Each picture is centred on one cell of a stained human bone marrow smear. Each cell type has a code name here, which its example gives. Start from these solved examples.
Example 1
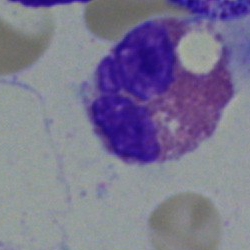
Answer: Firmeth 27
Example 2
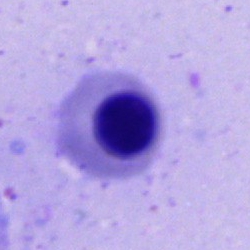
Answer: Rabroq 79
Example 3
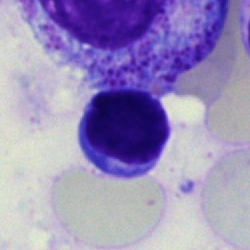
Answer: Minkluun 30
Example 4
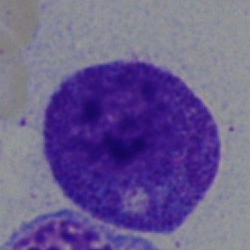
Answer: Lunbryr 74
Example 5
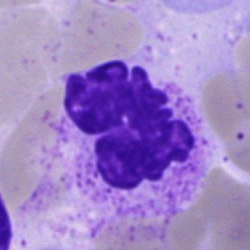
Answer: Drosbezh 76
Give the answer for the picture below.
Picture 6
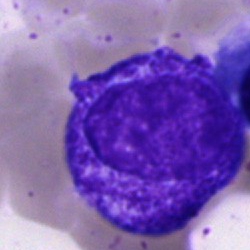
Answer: Lunbryr 74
